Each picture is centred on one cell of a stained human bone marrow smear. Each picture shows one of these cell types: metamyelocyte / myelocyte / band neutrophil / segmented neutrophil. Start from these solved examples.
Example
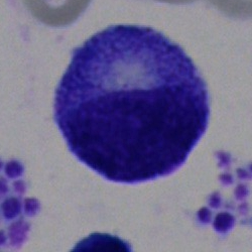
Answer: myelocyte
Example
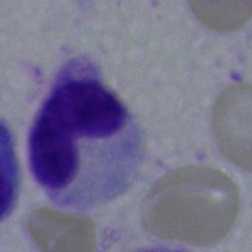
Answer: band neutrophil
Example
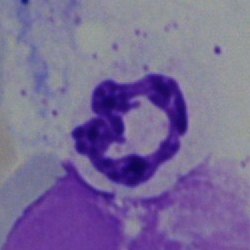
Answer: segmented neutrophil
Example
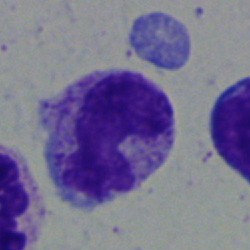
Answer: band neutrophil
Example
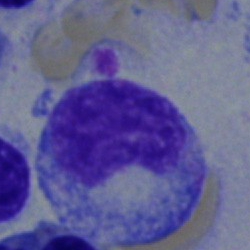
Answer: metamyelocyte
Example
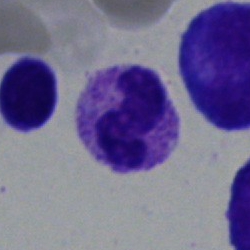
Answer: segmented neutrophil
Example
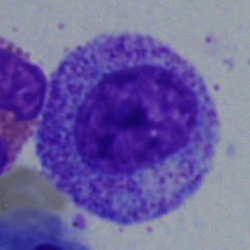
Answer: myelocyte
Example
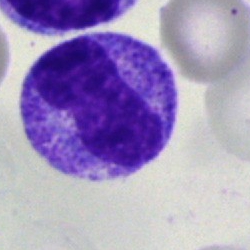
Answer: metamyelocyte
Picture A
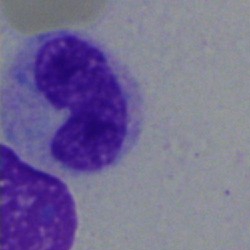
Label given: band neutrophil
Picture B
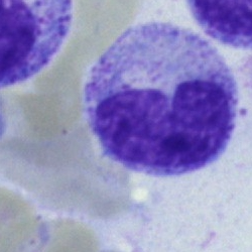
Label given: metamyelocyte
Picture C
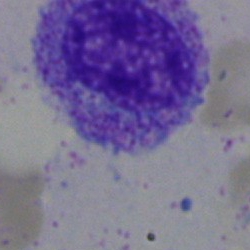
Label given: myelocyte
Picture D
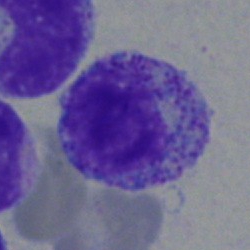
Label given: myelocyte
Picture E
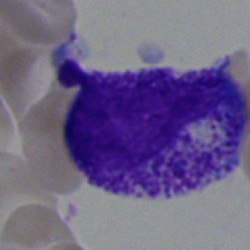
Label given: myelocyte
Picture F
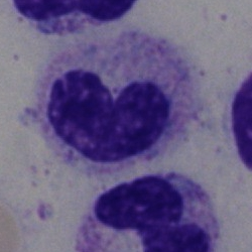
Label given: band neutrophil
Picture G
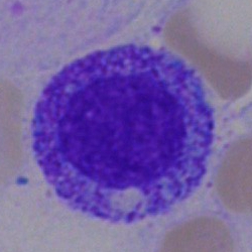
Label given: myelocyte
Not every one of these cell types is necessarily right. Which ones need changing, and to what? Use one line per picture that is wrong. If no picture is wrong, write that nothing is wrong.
All correct.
